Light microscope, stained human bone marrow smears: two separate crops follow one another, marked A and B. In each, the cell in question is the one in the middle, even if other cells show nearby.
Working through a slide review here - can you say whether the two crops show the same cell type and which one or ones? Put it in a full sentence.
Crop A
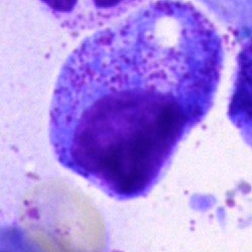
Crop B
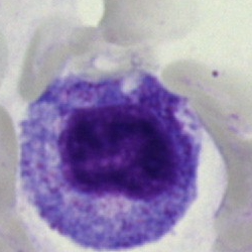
Yes, both crops in the pair show promyelocytes.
